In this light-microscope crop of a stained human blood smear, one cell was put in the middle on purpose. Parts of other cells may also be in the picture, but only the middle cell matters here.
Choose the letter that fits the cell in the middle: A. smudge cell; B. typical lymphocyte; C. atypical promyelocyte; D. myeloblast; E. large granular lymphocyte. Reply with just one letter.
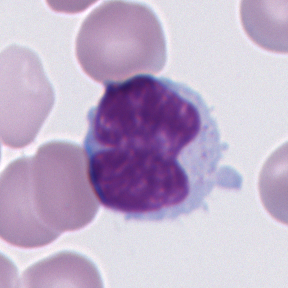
E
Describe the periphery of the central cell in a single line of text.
In outline, the cell is irregular, ragged in stretches or drawn into projections.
